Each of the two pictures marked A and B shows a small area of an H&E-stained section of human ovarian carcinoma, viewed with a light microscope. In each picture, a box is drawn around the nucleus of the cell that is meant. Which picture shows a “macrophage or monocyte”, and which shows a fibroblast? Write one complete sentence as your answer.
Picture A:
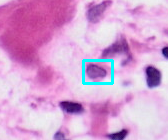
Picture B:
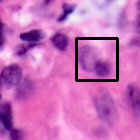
Picture B shows a fibroblast, while picture A shows a “macrophage or monocyte”.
